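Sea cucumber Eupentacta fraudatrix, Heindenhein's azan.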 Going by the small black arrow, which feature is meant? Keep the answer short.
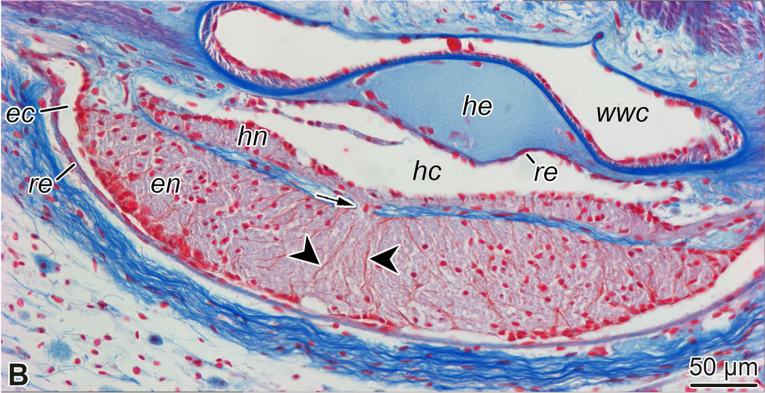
Short neural bridge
